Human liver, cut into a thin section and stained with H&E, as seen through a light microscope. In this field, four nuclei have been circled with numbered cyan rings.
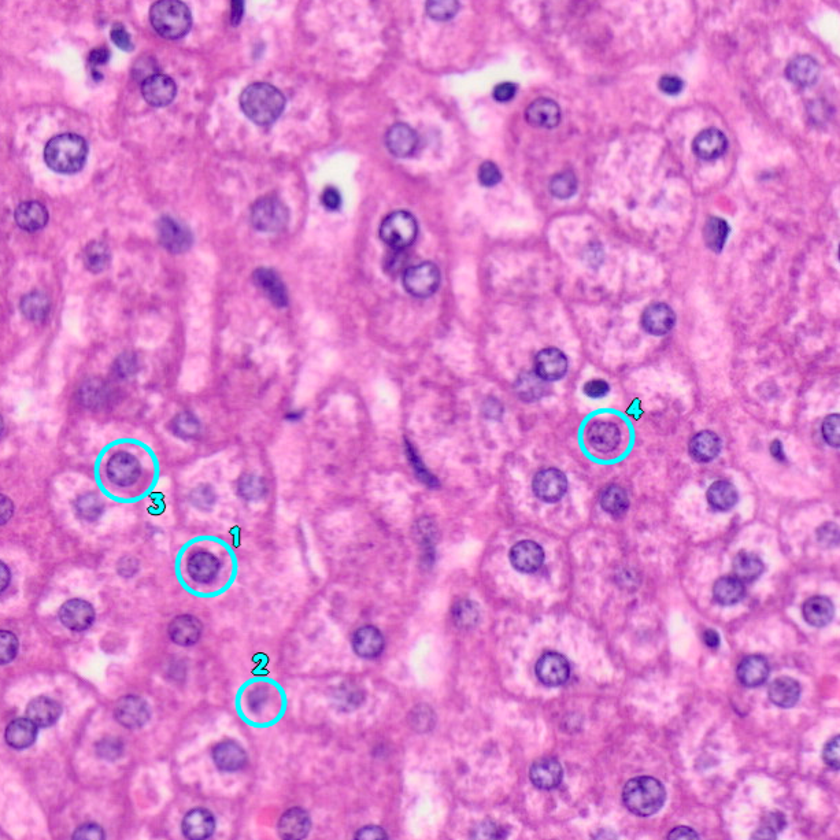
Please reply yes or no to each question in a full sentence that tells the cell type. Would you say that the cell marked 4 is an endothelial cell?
No, rather than an endothelial cell, cell number 4 is a hepatocyte.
